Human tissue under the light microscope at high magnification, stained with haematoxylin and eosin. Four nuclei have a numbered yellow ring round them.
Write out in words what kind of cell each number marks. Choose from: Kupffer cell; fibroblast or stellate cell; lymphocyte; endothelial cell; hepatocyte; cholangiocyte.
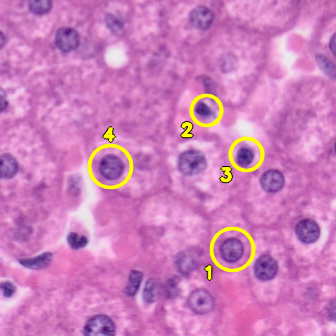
Cell 1 is a hepatocyte, cell 2 is a lymphocyte, cell 3 is a lymphocyte and cell 4 is a hepatocyte.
